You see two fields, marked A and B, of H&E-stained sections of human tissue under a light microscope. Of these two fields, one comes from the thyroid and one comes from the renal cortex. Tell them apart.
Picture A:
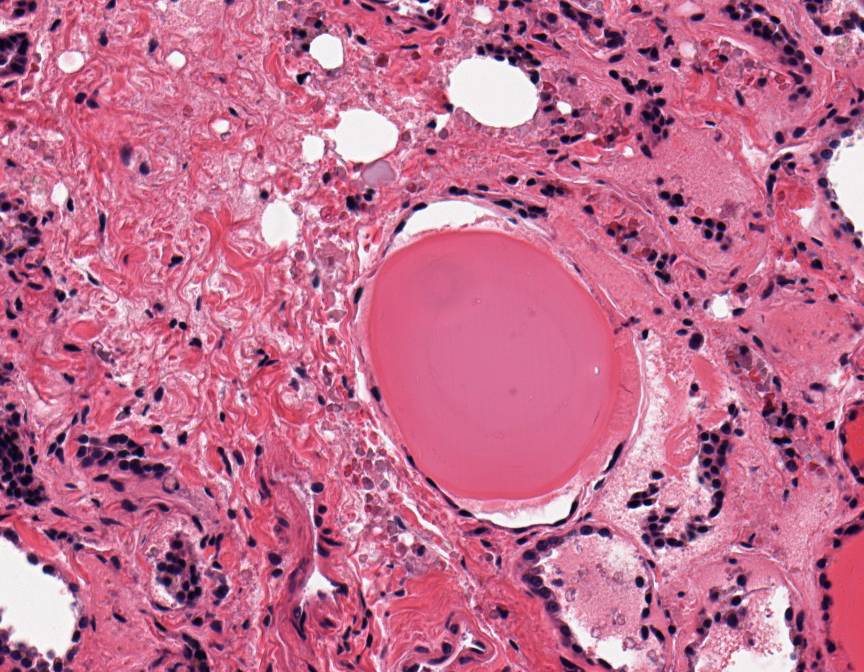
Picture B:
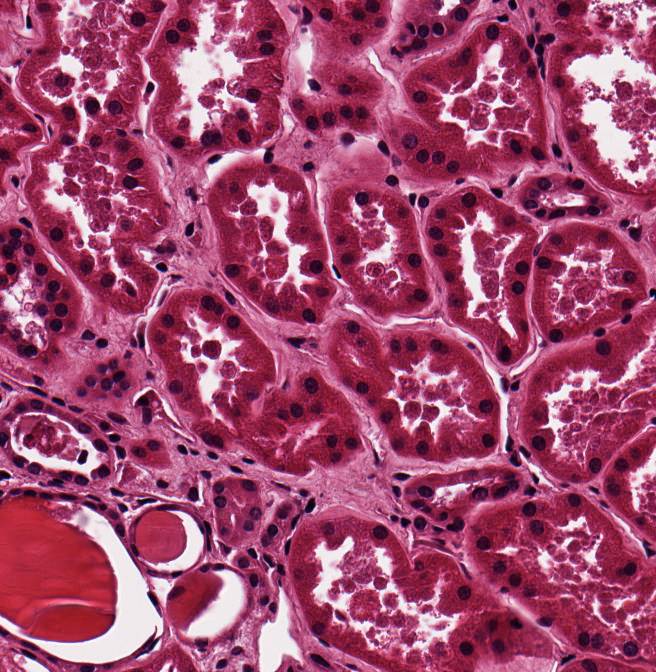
A: thyroid
B: renal cortex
